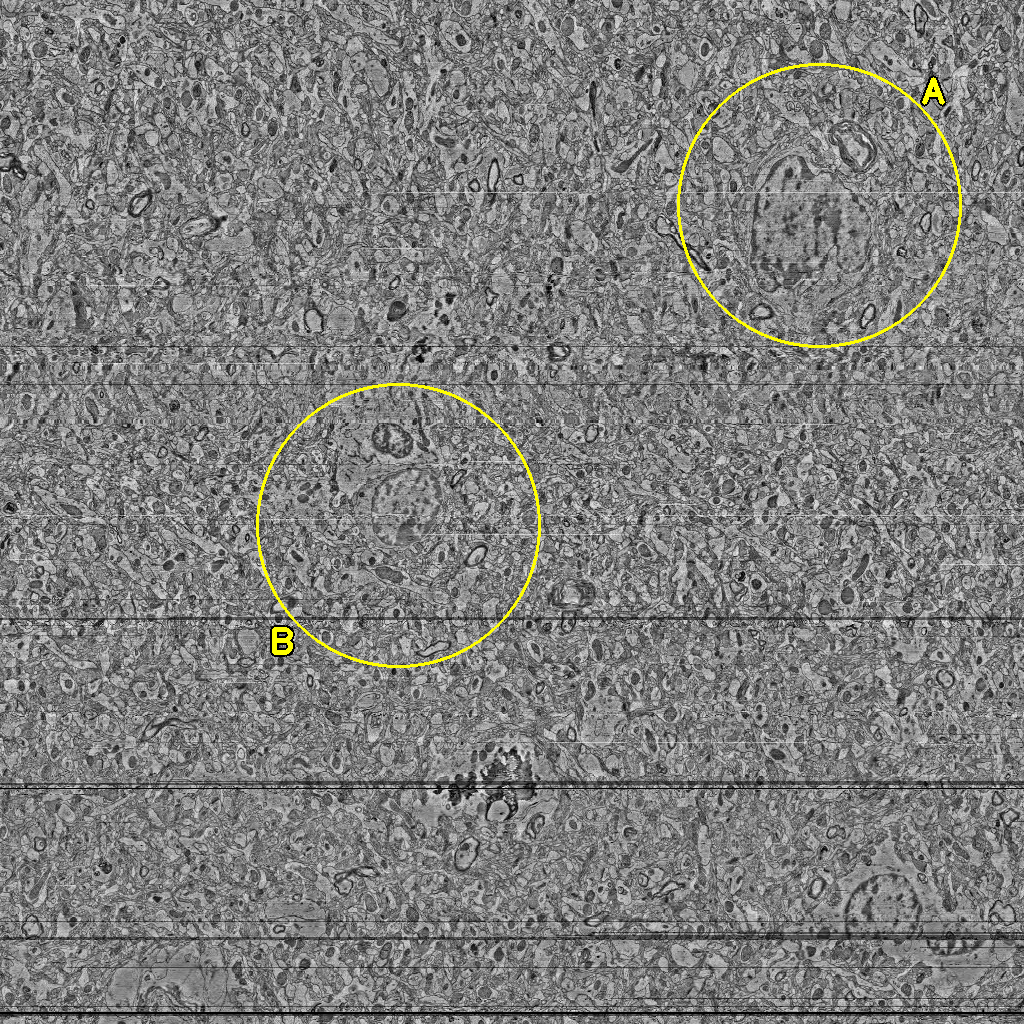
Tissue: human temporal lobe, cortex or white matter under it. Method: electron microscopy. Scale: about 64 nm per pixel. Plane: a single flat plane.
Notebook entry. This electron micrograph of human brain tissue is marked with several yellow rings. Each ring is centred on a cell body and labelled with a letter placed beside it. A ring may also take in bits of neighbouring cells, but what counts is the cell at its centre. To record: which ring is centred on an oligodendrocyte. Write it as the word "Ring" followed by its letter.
Ring B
